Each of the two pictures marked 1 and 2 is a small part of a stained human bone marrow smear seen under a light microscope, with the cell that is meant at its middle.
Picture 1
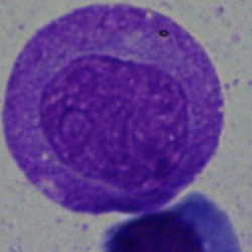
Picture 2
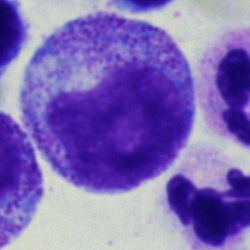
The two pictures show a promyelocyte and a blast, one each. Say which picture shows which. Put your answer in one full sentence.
Picture 1 is of a blast, and picture 2 is of a promyelocyte.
